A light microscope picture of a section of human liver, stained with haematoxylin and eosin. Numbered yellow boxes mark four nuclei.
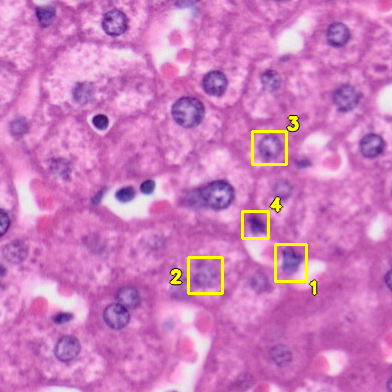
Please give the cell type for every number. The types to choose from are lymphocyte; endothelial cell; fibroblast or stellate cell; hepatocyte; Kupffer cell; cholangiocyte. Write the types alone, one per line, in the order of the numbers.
endothelial cell
hepatocyte
hepatocyte
fibroblast or stellate cell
